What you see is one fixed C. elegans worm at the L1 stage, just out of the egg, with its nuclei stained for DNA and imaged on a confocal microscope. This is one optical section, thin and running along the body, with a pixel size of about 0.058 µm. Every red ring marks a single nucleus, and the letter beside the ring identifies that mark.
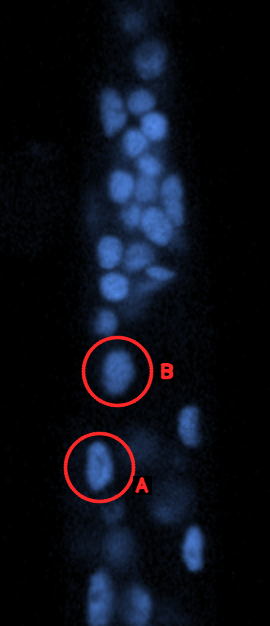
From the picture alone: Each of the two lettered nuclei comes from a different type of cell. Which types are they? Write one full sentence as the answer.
B belongs to an enteric muscle cell, and A to a body wall muscle cell.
